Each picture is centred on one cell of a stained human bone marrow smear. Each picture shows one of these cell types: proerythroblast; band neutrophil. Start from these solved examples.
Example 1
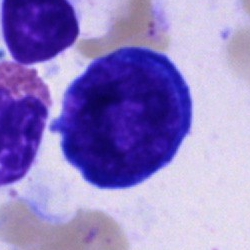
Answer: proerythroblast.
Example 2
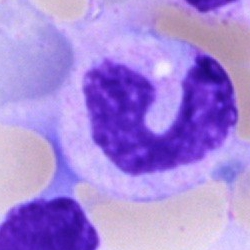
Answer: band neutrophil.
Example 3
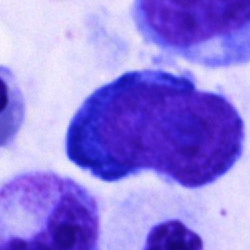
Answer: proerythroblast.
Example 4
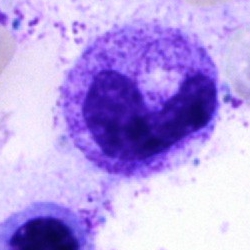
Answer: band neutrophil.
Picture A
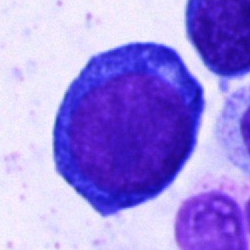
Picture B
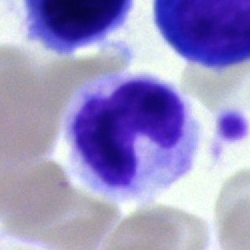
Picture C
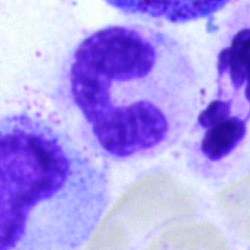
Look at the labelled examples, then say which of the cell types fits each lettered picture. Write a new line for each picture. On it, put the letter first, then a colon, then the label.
A: proerythroblast.
B: band neutrophil.
C: band neutrophil.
